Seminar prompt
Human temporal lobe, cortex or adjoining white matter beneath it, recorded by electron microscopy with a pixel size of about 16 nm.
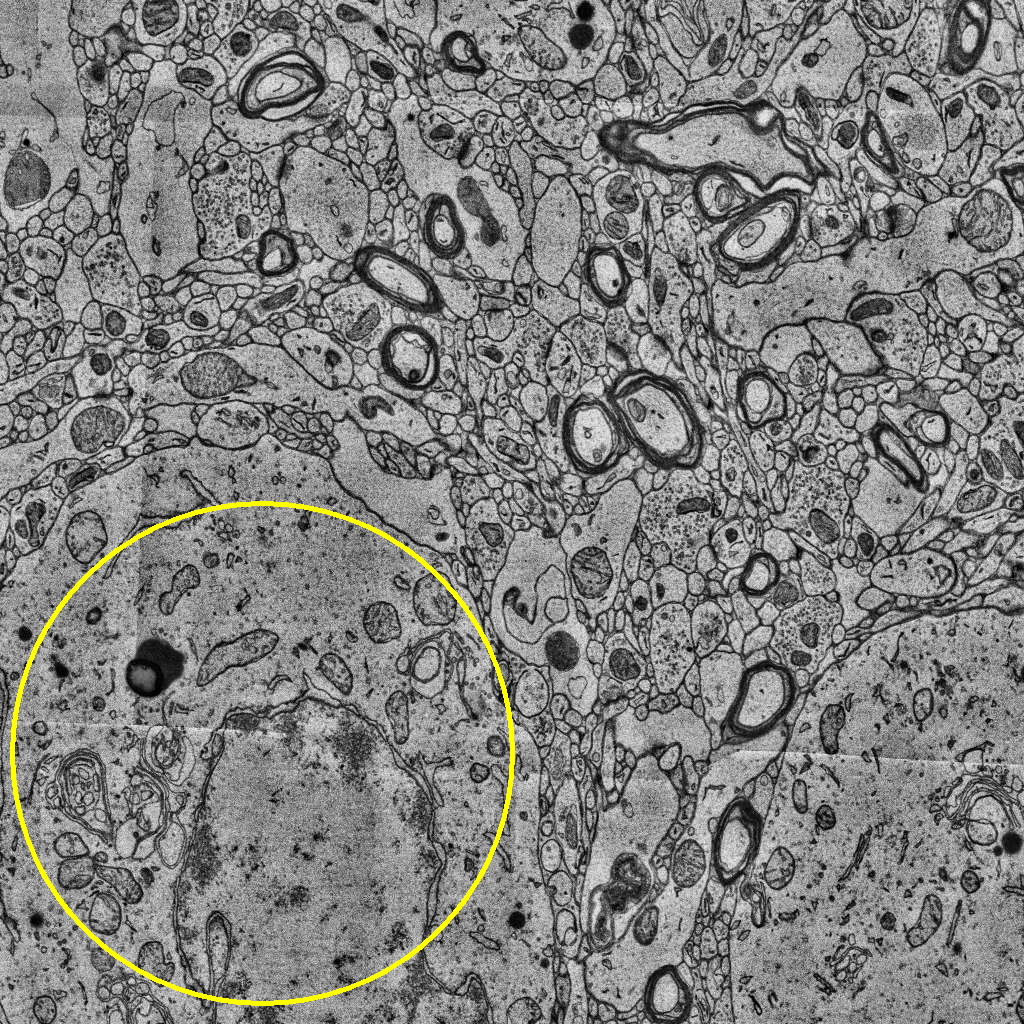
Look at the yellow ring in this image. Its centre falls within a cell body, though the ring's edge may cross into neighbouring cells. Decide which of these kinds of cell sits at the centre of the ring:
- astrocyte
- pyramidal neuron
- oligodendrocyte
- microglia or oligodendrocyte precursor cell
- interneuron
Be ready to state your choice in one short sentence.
The kind of cell at the ring's centre is an interneuron.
